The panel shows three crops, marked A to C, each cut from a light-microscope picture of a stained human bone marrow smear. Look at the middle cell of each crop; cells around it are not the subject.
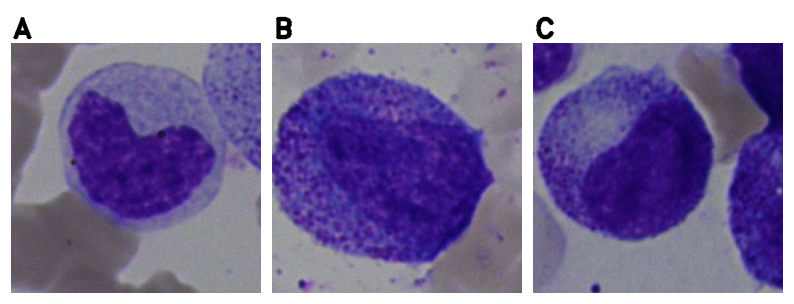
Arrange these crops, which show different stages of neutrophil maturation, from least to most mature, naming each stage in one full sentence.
Least mature first and most mature last, the sequence is crop B (a promyelocyte), crop C (a myelocyte) and crop A (a metamyelocyte).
